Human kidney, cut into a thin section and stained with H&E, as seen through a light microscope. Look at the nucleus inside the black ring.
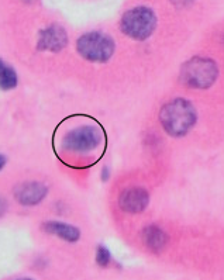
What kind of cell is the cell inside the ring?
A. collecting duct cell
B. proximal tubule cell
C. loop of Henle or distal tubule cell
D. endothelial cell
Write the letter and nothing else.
D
